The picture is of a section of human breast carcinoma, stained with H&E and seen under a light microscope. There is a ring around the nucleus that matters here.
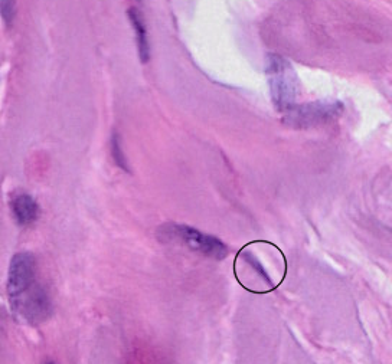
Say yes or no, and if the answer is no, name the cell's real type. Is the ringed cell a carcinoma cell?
No, it is a fibroblast.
